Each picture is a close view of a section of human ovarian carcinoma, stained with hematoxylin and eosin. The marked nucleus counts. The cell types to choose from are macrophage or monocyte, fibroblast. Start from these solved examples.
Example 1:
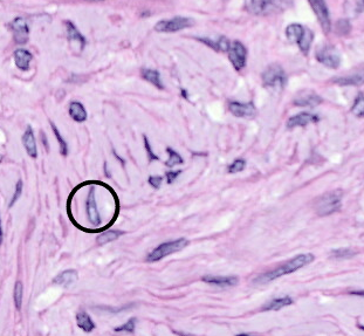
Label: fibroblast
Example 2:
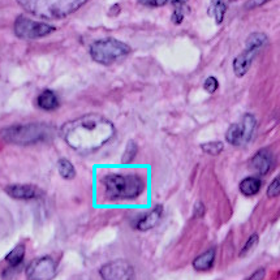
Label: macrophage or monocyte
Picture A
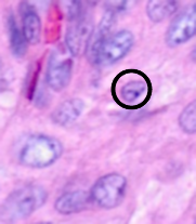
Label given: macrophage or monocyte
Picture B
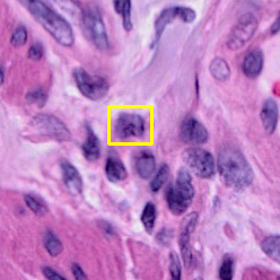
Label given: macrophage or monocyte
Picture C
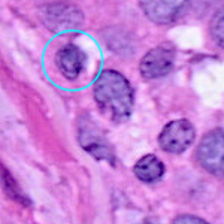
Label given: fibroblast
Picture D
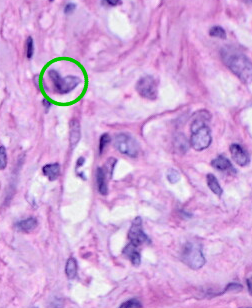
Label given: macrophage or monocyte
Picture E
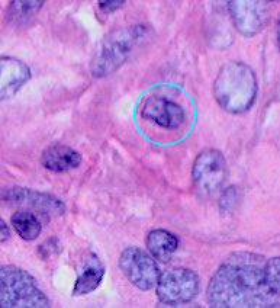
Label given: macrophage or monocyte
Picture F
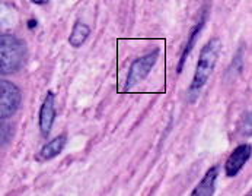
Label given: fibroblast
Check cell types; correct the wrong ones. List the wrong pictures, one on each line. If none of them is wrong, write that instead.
C: not fibroblast but macrophage or monocyte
